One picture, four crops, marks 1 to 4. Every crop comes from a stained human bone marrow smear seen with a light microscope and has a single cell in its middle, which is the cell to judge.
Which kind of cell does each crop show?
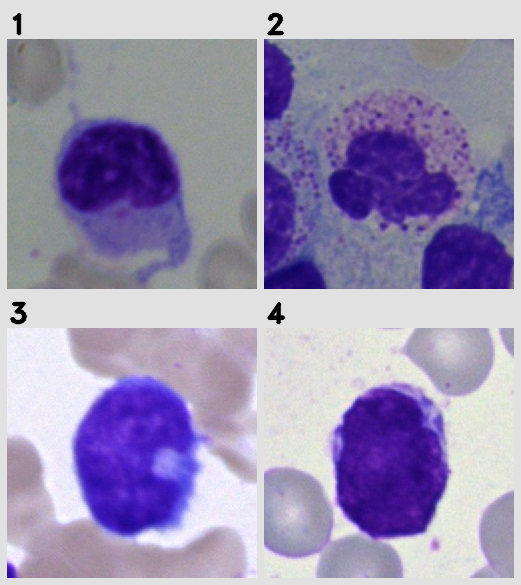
1: hairy cell
2: basophil
3: monocyte
4: blast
